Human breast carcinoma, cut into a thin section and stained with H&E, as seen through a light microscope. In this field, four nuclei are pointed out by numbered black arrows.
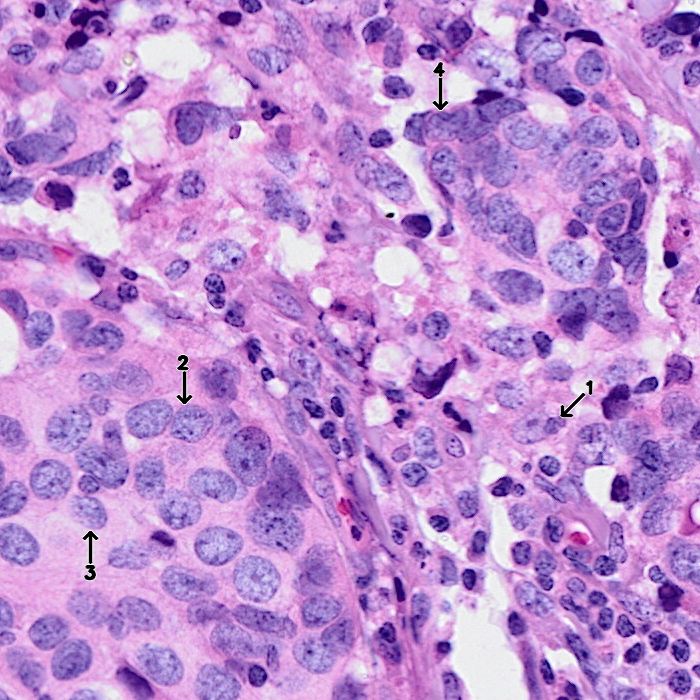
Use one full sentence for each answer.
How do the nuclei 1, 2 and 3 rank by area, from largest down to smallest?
Largest first, the order by area is 2, 3, 1.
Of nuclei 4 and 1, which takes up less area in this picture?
Number 1 is smaller, since number 4 takes up about 2 times as much area.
